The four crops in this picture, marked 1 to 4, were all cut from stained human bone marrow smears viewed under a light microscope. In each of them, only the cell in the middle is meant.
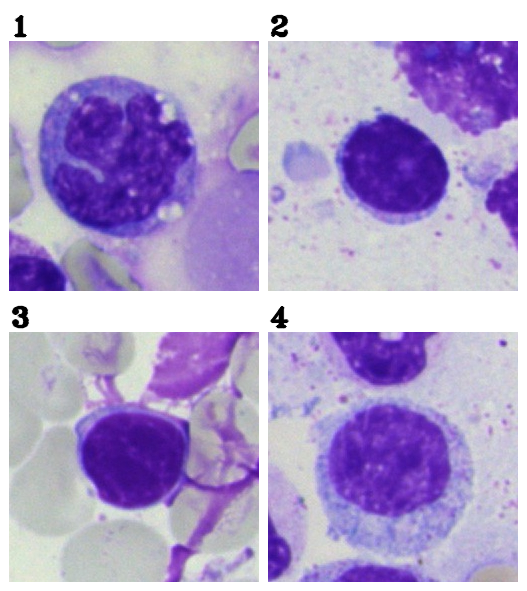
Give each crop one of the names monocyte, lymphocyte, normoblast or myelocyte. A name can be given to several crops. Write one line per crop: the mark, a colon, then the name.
1: monocyte
2: lymphocyte
3: lymphocyte
4: myelocyte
